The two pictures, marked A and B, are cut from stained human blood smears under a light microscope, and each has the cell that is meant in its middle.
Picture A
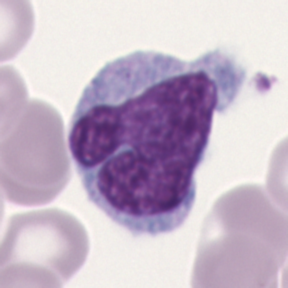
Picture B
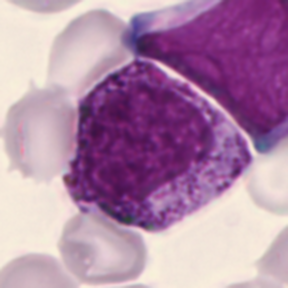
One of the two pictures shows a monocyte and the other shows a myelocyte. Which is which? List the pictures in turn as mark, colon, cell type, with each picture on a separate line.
A: monocyte
B: myelocyte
